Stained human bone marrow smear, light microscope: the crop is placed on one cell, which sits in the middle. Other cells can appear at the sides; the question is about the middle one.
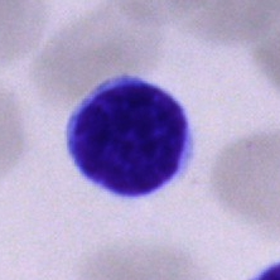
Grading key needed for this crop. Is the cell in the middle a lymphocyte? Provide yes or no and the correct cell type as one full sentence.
Yes, the crop is centred on a lymphocyte.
